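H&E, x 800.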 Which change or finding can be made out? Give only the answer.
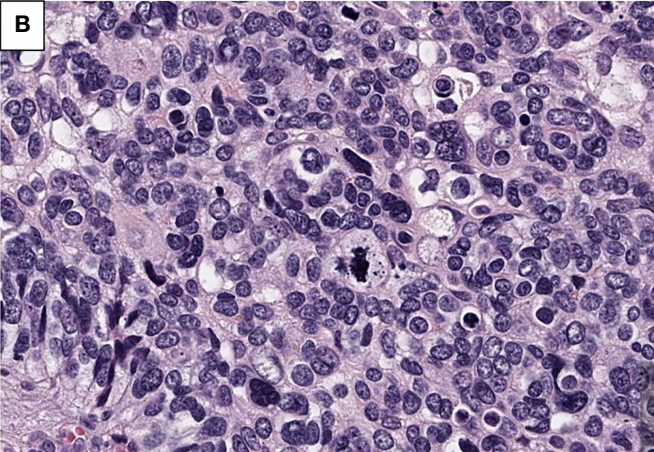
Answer: Severe nuclear atypia.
